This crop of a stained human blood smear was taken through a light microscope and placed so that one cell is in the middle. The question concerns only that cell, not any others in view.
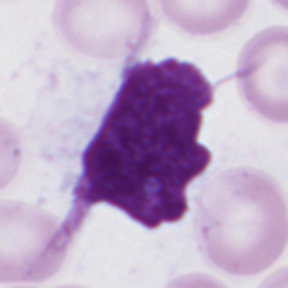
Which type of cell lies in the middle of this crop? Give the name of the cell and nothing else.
smudge cell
